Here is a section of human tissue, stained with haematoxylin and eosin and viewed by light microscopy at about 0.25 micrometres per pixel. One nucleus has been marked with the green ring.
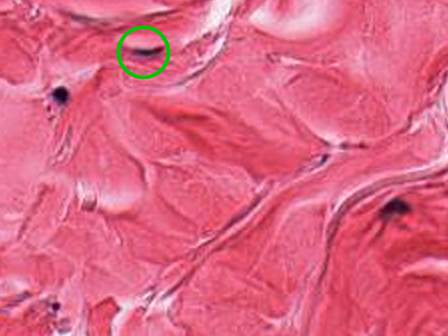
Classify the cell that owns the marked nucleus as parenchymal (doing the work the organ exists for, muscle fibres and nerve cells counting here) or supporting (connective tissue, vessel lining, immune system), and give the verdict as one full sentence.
The marked nucleus is recognized as that of a supporting cell.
